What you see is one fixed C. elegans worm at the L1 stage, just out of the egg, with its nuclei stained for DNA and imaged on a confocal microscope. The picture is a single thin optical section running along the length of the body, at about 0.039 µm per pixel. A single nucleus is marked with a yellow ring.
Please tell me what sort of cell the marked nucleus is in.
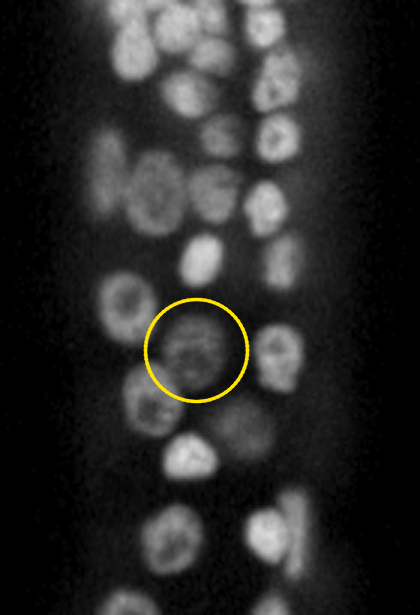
hypodermal cell (hyp)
